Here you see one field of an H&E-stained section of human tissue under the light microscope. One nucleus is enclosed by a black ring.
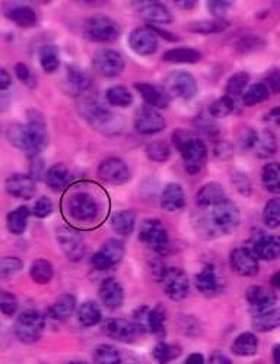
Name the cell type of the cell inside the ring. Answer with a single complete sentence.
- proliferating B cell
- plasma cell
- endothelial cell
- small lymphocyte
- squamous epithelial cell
With respect to cell type, the cell inside the ring is a plasma cell.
